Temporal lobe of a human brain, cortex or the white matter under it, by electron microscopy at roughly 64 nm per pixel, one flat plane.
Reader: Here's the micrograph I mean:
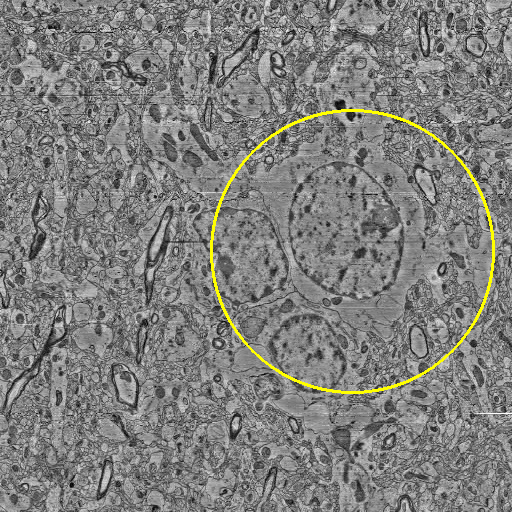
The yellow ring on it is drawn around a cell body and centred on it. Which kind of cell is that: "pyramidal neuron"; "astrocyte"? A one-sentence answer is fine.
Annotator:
The ring is centred on an astrocyte.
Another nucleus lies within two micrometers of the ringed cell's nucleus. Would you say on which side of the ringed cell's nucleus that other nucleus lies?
The other nucleus sits to the left of it.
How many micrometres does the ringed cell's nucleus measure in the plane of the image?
The nucleus has a long axis of about 9 micrometres and a short axis of about 7 micrometres in this plane.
